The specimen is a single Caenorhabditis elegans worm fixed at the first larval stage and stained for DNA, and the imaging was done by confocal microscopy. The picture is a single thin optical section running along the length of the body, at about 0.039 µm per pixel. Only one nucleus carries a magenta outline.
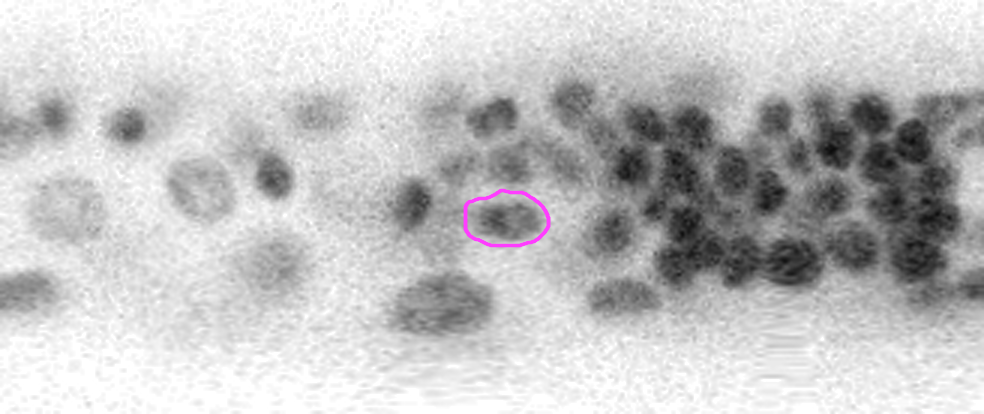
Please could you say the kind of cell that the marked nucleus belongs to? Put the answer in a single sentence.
The marked cell is a pharyngeal marginal cell.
